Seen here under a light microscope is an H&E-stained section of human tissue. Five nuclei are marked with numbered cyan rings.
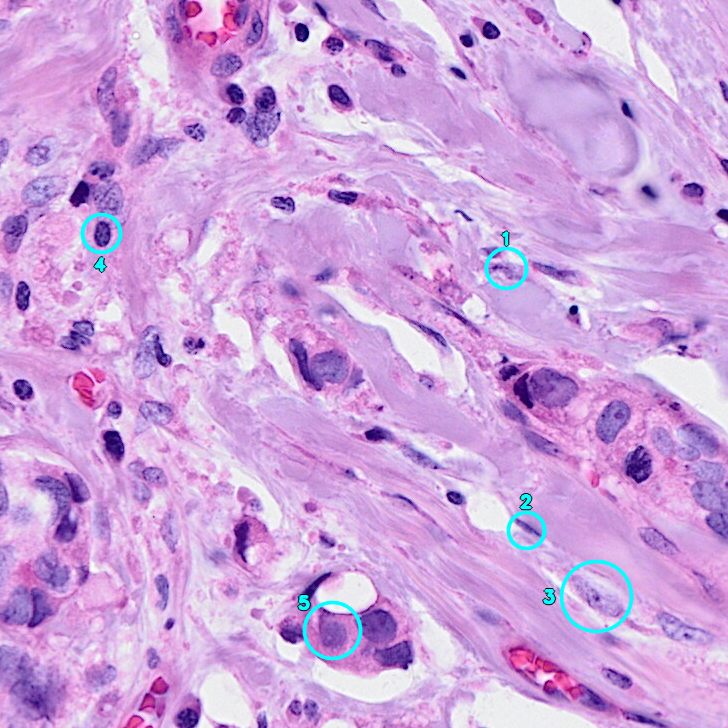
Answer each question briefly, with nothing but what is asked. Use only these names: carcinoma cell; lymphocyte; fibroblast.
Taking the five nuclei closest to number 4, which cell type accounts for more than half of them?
fibroblast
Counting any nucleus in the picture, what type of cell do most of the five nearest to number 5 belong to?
carcinoma cell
